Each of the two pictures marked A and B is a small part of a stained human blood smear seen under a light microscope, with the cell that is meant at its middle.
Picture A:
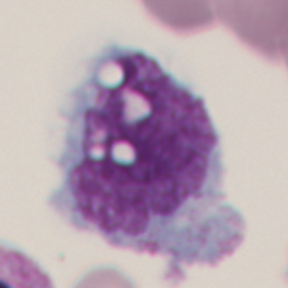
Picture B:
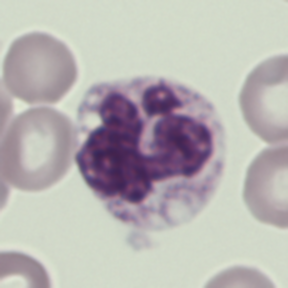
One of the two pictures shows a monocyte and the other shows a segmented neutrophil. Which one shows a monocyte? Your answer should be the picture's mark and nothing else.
A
